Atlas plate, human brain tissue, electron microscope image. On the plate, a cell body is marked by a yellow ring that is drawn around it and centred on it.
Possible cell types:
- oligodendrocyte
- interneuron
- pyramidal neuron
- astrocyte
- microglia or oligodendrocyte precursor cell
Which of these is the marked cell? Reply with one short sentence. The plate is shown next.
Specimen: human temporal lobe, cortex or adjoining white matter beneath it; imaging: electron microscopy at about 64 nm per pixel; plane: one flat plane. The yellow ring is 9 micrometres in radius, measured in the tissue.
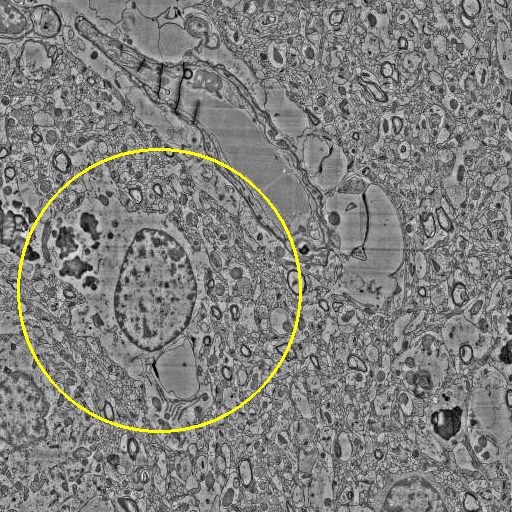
The marked cell is an astrocyte.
